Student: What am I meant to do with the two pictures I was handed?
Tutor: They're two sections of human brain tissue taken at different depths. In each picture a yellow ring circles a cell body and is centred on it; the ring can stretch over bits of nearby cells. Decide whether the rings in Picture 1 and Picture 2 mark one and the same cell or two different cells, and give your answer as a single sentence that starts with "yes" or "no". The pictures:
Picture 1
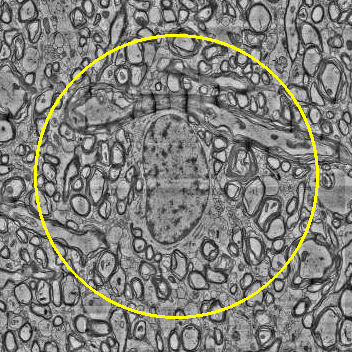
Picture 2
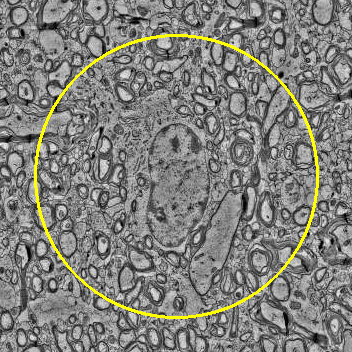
Yes, one cell appears twice, once in each ring.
